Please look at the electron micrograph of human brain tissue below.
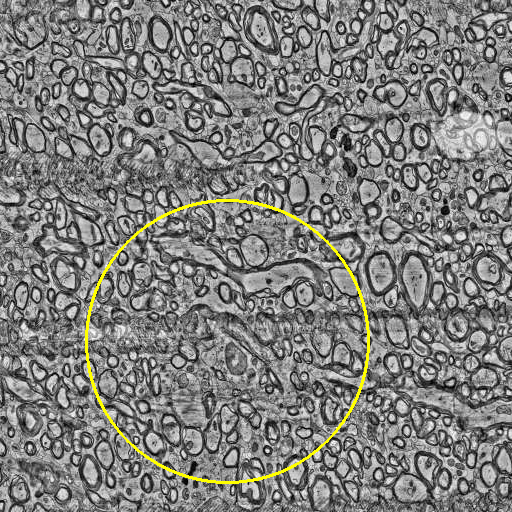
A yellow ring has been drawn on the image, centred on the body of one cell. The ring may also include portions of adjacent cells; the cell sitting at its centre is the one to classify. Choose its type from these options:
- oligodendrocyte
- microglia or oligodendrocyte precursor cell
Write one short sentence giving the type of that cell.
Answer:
The cell in the middle of the ring is a microglial cell or oligodendrocyte precursor cell.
